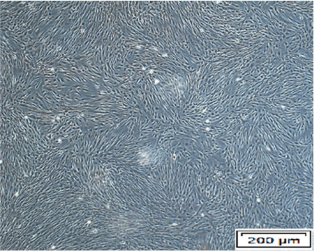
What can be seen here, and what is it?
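This is a dense, nearly confluent layer of cultured cells seen without stain. The cells are long and spindle-shaped, lying side by side in parallel streams that swirl across the dish. A few small, bright, rounded cells are scattered over the layer.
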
